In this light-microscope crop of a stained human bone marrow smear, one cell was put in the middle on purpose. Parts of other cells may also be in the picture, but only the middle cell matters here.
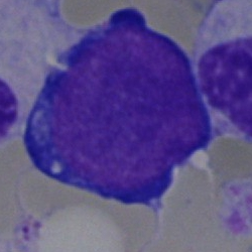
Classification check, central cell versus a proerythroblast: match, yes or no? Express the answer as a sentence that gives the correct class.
Yes, the middle cell here is a proerythroblast.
